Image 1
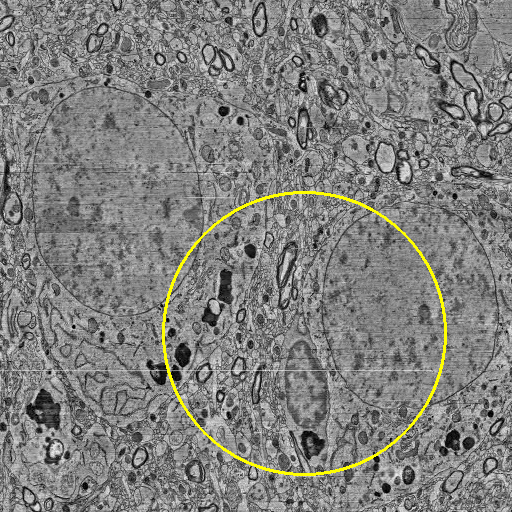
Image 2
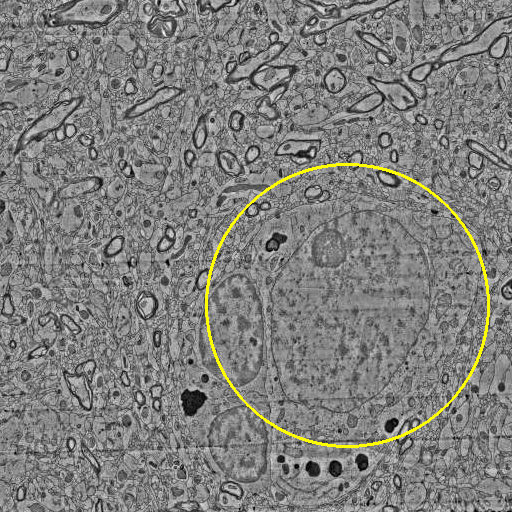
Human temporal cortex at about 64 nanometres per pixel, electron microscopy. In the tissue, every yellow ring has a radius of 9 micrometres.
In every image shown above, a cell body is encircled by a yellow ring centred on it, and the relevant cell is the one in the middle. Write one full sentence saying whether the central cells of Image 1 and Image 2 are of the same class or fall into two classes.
The cell at the ring's centre in Image 1 and its counterpart in Image 2 fall into two classes.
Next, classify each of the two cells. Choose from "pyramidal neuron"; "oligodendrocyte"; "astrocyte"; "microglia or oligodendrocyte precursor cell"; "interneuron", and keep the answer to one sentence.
In the first picture it is an oligodendrocyte; in the second it is a pyramidal neuron.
